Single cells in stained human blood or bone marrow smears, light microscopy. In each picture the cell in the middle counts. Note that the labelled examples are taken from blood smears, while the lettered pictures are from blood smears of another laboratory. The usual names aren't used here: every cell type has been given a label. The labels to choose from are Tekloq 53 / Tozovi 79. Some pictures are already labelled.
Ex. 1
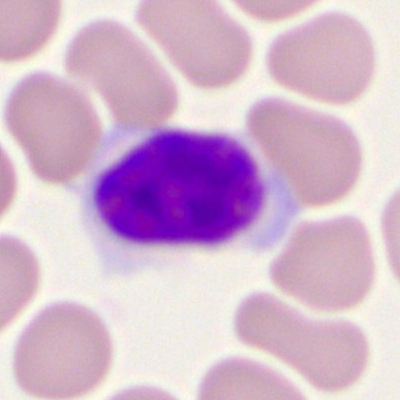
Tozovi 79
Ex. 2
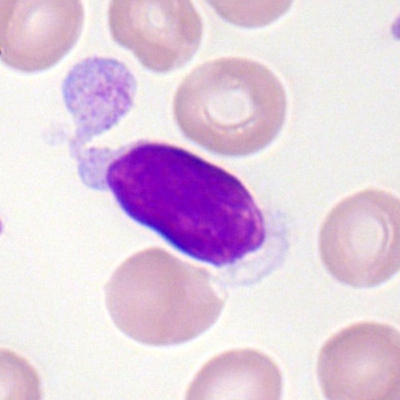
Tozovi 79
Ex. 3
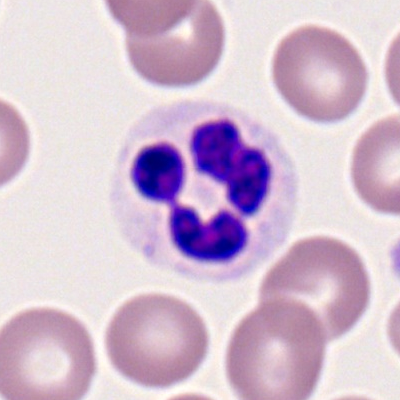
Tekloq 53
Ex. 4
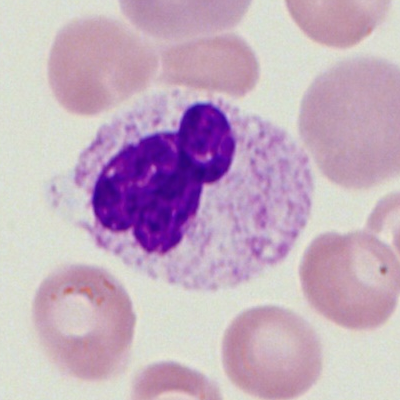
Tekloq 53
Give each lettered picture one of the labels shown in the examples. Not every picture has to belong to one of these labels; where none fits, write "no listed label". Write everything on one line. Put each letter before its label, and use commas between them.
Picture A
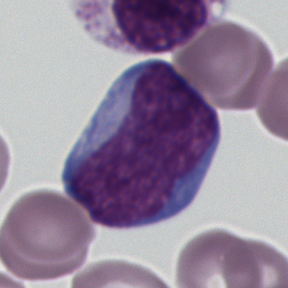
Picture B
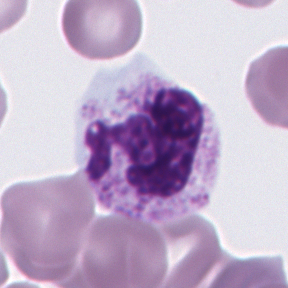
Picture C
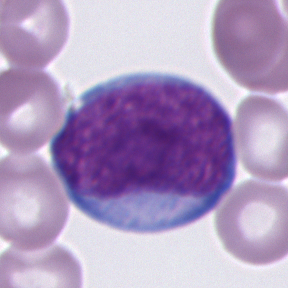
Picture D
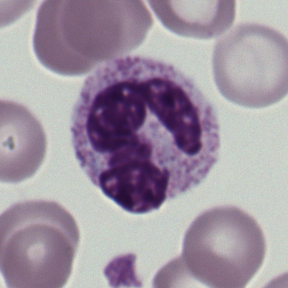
A no listed label, B Tekloq 53, C no listed label, D Tekloq 53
